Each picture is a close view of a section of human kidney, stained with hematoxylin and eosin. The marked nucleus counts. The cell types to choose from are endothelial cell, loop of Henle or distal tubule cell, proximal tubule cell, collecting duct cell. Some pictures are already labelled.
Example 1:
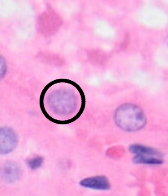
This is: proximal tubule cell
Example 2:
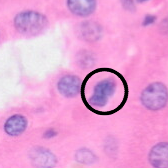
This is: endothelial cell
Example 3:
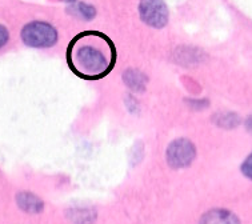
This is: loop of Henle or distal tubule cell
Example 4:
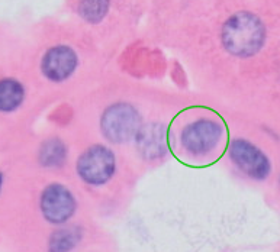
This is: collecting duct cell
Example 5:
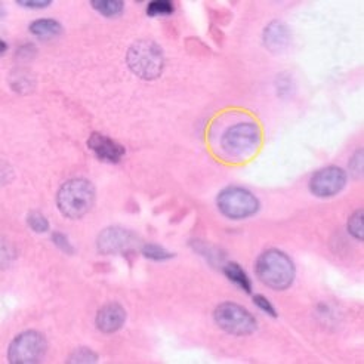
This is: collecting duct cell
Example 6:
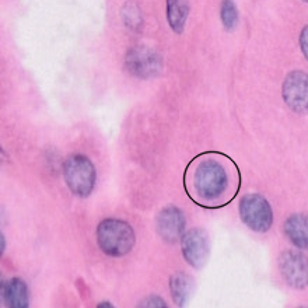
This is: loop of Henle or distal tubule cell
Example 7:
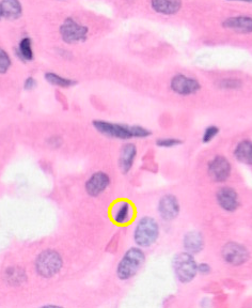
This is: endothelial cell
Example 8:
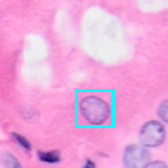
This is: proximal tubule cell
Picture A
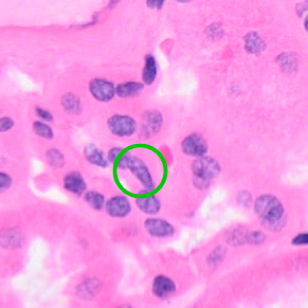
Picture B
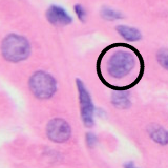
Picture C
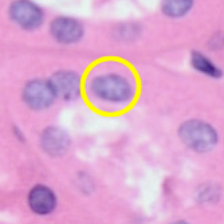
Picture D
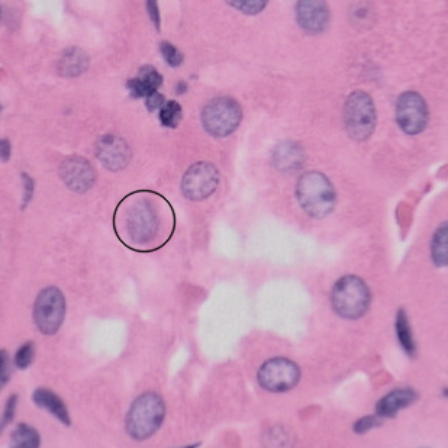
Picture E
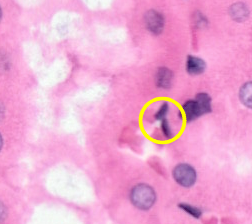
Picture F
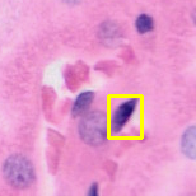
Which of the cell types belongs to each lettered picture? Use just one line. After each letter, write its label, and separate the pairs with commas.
A collecting duct cell, B collecting duct cell, C loop of Henle or distal tubule cell, D proximal tubule cell, E endothelial cell, F endothelial cell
